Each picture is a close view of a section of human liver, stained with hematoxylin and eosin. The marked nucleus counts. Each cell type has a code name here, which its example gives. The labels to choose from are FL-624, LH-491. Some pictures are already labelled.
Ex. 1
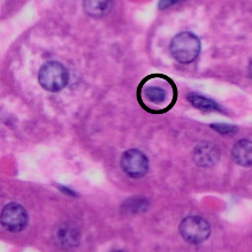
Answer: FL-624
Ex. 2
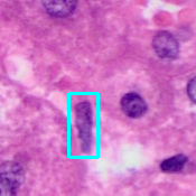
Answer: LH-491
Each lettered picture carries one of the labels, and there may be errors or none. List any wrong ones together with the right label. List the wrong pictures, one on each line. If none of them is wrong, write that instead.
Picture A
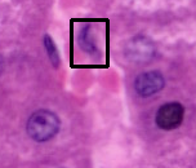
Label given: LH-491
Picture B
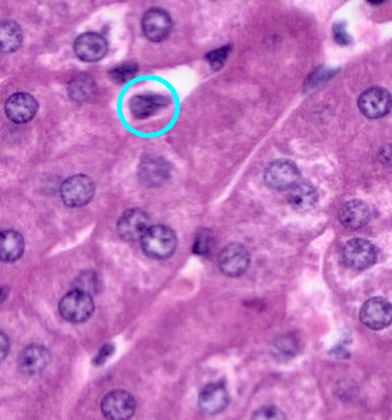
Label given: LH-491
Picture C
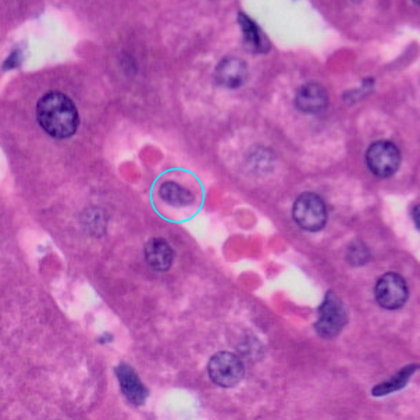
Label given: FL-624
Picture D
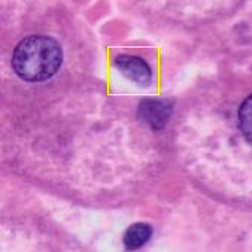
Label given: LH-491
C: not FL-624 but LH-491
